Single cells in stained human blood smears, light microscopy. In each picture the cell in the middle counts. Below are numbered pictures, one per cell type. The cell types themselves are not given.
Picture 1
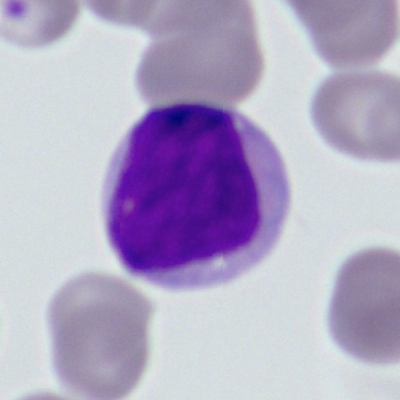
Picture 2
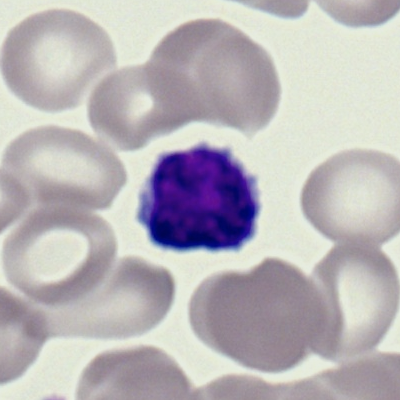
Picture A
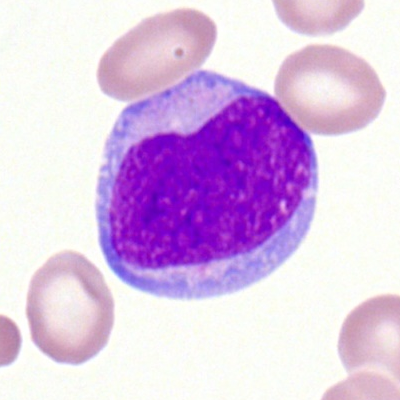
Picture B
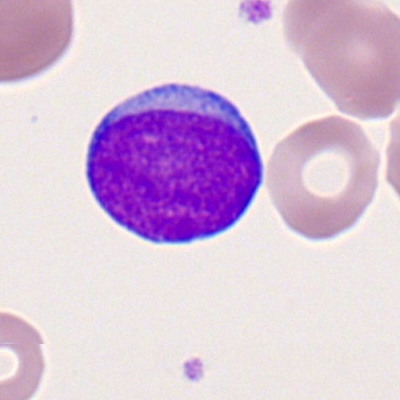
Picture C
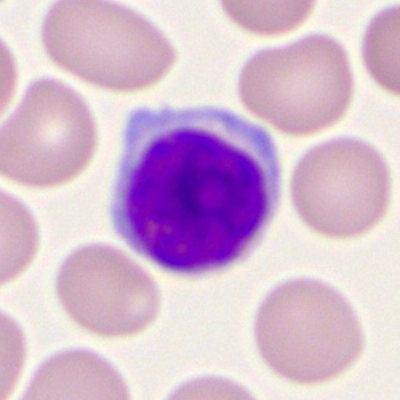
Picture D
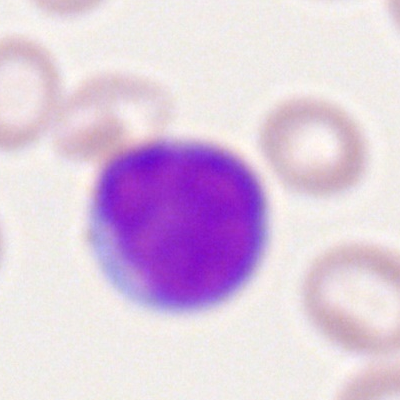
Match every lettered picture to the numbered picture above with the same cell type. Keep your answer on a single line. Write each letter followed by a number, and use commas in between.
A 1, B 1, C 2, D 2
